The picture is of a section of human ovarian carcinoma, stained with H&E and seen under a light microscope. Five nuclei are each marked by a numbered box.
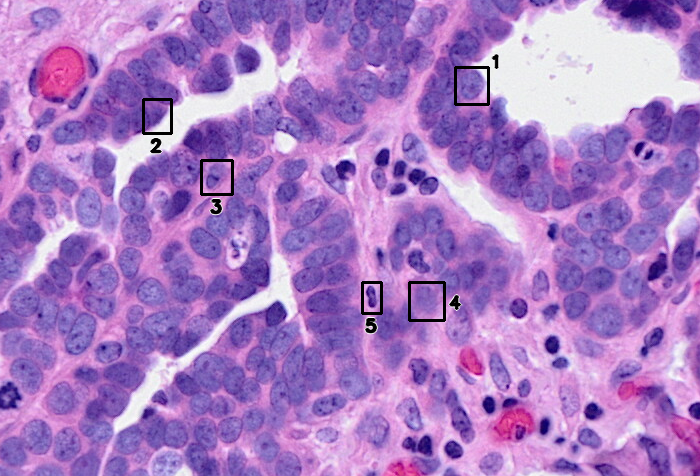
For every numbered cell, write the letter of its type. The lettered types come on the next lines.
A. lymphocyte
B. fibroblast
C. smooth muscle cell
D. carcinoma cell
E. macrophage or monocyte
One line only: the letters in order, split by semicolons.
D; D; E; D; A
